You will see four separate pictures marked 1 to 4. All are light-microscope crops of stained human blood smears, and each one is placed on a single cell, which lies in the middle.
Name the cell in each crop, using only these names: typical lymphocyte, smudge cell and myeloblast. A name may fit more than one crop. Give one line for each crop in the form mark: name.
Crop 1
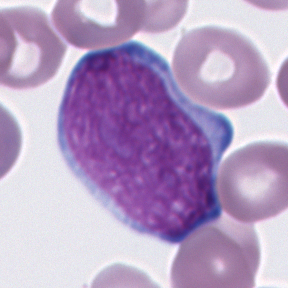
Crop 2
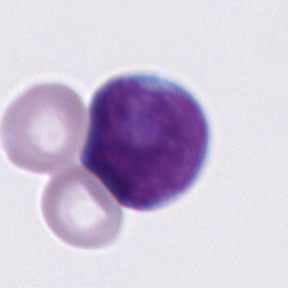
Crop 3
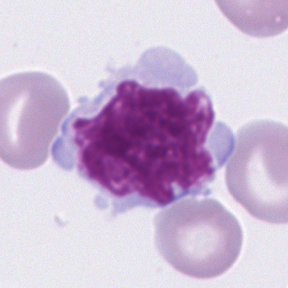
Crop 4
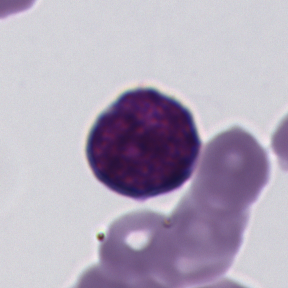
1: myeloblast
2: myeloblast
3: typical lymphocyte
4: myeloblast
